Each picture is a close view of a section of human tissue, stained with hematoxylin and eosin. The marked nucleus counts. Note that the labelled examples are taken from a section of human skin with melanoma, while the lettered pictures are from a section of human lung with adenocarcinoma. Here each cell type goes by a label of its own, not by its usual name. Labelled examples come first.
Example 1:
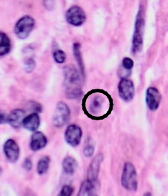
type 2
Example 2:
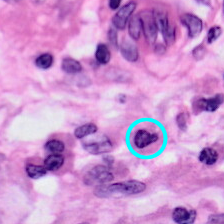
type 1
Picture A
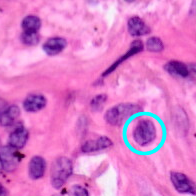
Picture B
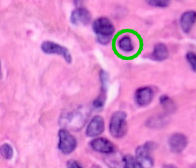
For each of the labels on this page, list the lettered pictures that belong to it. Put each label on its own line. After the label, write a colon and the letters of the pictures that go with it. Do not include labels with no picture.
type 2: A, B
